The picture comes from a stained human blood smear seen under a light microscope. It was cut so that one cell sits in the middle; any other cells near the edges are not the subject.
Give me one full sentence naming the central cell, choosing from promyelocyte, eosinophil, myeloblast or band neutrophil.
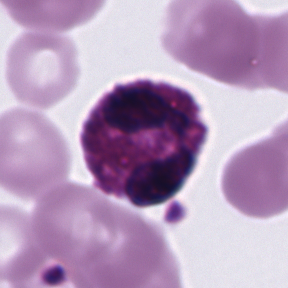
The cell at the central position in this crop is an eosinophil.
